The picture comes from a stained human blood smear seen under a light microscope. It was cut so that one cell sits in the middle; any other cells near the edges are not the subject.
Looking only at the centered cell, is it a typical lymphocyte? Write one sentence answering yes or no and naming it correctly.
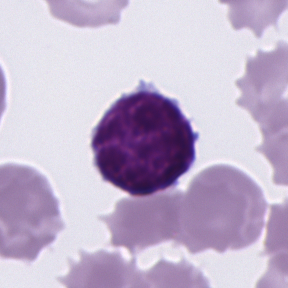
Yes, it is a typical lymphocyte that lies in the middle.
